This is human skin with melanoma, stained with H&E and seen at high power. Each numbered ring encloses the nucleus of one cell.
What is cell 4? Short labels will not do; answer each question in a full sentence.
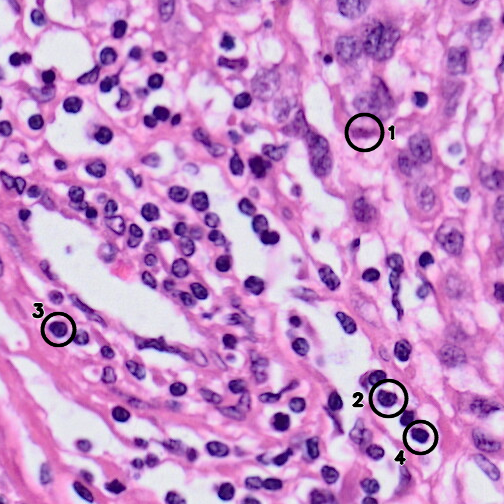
At number 4, the marked cell is a lymphocyte.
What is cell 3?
Number 3 among the marked cells is a lymphocyte.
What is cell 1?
The cell that bears the number 1 is a melanoma cell.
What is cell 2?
Heads up, the cell numbered 2 is a lymphocyte.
